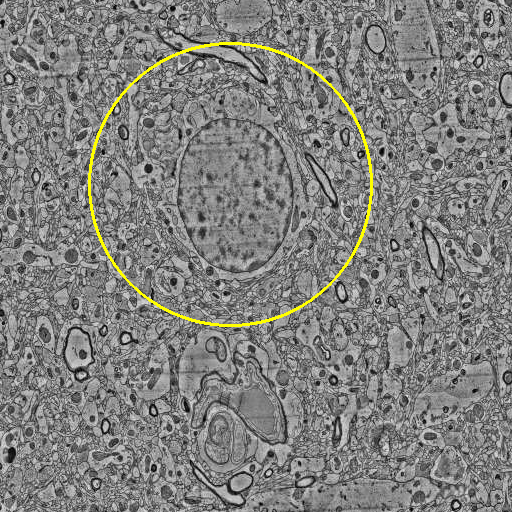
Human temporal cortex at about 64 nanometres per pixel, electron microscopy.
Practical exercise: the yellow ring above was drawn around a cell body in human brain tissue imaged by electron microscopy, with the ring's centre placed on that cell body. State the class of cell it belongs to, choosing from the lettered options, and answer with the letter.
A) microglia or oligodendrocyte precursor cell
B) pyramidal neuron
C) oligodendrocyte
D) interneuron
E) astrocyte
E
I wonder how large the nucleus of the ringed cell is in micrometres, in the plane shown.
In this plane the nucleus measures roughly 10 by 7 micrometres.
